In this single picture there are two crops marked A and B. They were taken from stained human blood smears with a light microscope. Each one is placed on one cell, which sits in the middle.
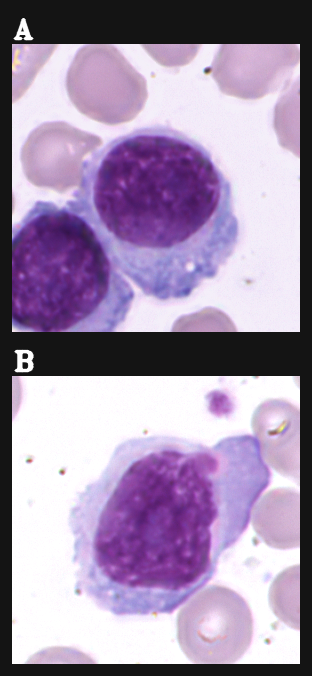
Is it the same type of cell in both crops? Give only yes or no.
yes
